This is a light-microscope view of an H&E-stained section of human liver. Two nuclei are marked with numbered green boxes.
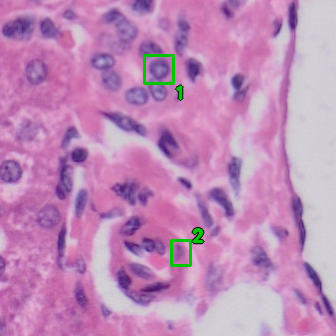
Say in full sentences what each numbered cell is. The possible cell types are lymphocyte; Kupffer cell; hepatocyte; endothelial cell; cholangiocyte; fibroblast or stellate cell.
Cell 1 is a cholangiocyte. Cell 2 is a fibroblast or stellate cell.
